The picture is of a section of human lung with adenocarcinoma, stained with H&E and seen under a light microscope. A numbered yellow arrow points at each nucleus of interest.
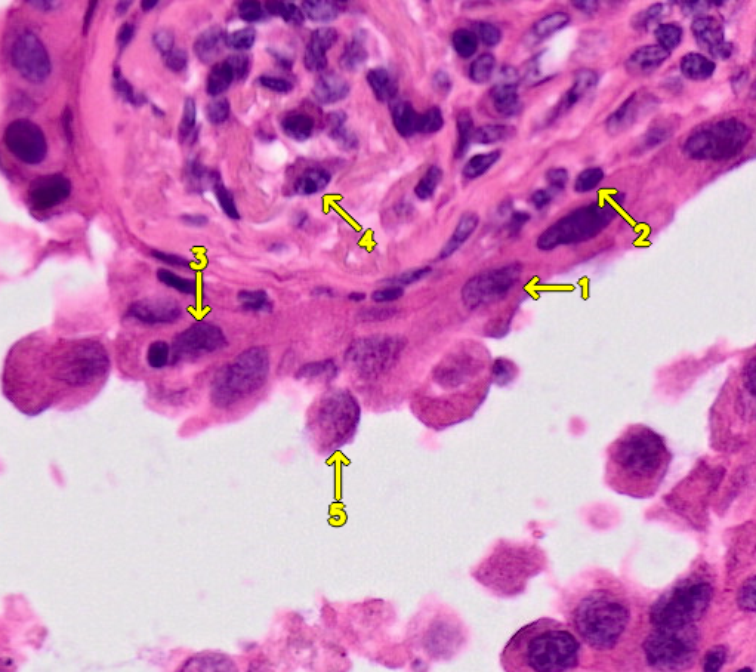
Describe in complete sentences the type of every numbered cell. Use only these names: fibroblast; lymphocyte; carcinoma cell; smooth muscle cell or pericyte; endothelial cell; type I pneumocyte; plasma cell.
Cells 1, 3 and 5 are carcinoma cells. Cell 2 is a lymphocyte. Cell 4 is a plasma cell.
